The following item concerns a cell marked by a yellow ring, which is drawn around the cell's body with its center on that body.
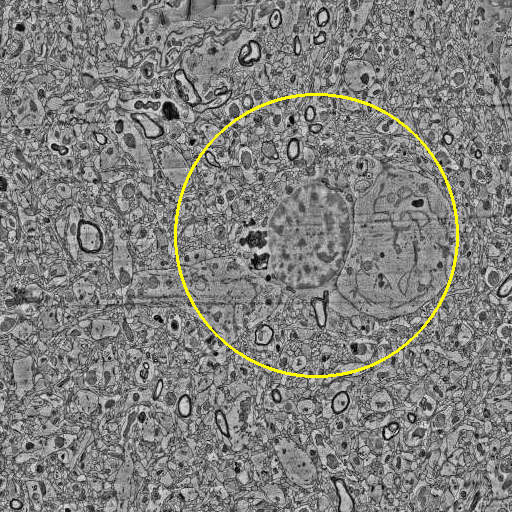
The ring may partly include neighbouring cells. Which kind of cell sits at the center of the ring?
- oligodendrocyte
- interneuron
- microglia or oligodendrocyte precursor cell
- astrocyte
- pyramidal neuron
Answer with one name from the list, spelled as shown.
oligodendrocyte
